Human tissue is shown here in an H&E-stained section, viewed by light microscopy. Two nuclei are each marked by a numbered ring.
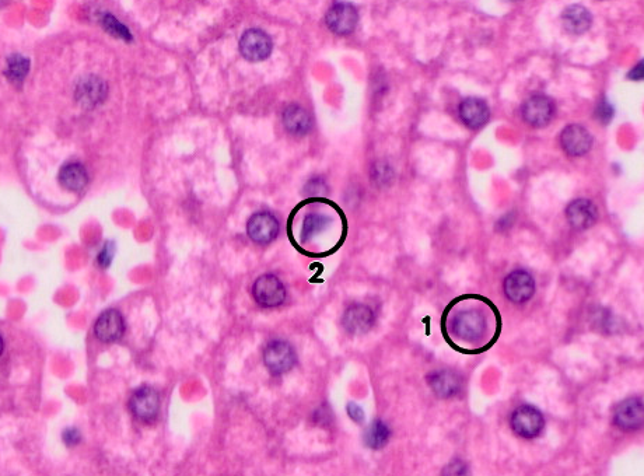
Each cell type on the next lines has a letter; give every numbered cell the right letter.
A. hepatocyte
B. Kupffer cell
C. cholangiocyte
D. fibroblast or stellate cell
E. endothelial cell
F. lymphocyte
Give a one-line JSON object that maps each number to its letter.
{"1": "A", "2": "E"}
